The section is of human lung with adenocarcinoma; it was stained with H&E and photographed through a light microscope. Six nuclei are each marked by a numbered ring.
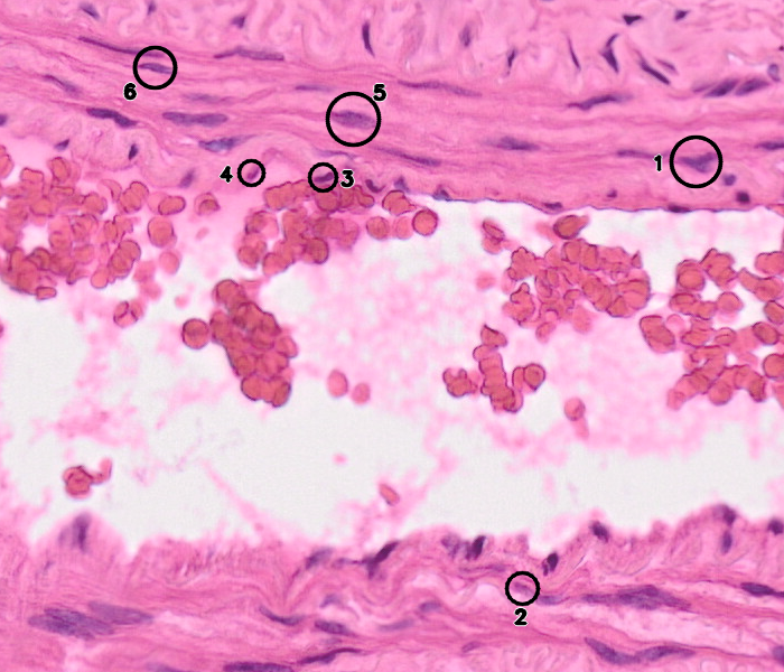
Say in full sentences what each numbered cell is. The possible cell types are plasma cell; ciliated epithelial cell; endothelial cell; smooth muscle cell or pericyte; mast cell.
Cell 1 is a smooth muscle cell or pericyte, cell 2 is a smooth muscle cell or pericyte, cell 3 is an endothelial cell, cell 4 is an endothelial cell, cell 5 is a smooth muscle cell or pericyte and cell 6 is a smooth muscle cell or pericyte.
